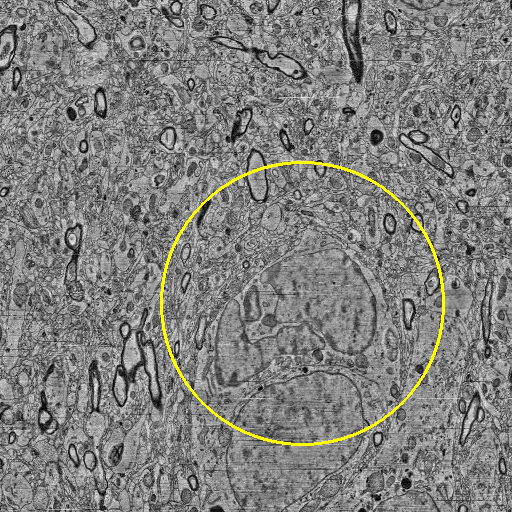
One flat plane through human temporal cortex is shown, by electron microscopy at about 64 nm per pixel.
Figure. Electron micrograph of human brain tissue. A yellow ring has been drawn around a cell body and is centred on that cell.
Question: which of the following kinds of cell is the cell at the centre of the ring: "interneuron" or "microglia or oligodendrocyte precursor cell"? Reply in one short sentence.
The cell at the centre of the ring is a microglial cell or oligodendrocyte precursor cell.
